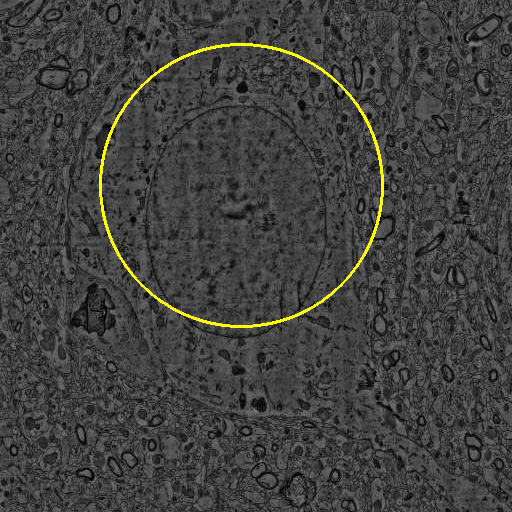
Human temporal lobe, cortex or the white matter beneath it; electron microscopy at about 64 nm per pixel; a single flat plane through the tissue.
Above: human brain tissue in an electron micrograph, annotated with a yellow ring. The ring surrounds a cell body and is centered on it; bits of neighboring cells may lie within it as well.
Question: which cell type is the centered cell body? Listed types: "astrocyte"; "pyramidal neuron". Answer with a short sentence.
The centered cell body is a pyramidal neuron.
